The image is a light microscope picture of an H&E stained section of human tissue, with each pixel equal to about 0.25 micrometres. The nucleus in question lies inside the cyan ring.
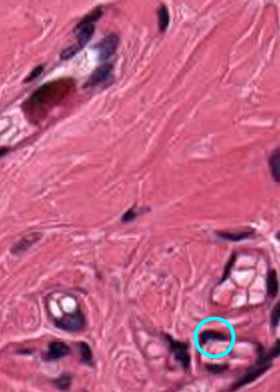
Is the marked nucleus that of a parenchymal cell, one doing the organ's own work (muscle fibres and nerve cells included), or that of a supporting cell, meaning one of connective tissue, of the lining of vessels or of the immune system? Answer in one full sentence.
The cell holding the marked nucleus is identified as a supporting cell.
